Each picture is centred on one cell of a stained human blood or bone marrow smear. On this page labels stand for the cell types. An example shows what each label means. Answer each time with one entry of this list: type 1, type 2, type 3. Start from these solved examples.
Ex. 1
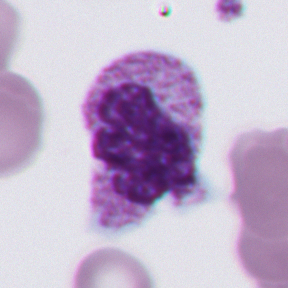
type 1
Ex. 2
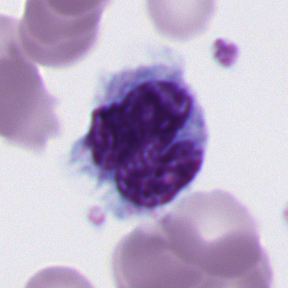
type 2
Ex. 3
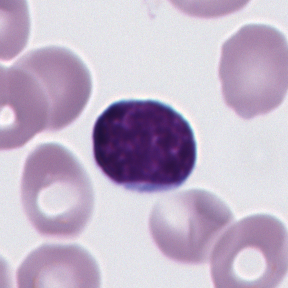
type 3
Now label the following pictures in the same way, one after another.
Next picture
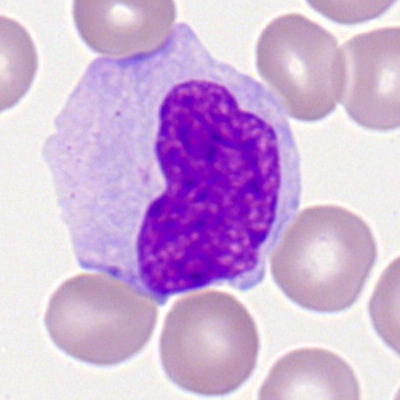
type 2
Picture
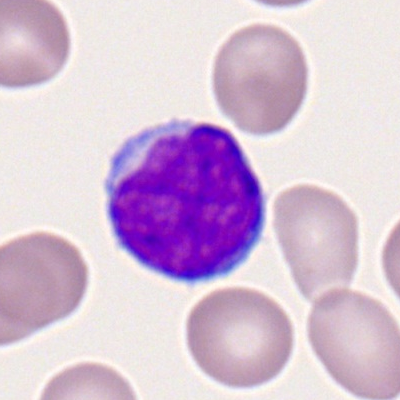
type 3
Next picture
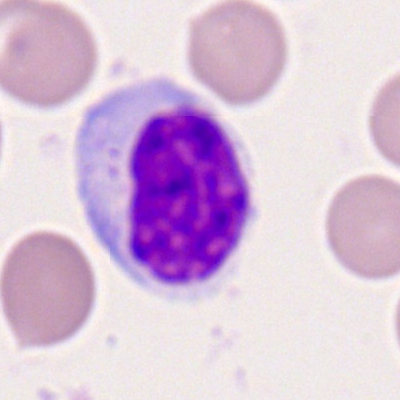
type 3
